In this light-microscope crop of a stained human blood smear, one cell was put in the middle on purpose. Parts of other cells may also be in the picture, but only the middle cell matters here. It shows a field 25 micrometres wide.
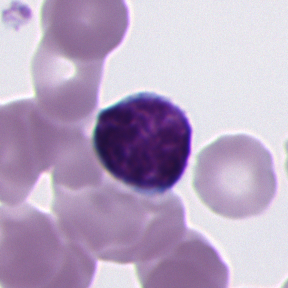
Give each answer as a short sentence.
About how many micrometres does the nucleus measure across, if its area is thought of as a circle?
About 8 micrometres: that is the diameter of the nucleus.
